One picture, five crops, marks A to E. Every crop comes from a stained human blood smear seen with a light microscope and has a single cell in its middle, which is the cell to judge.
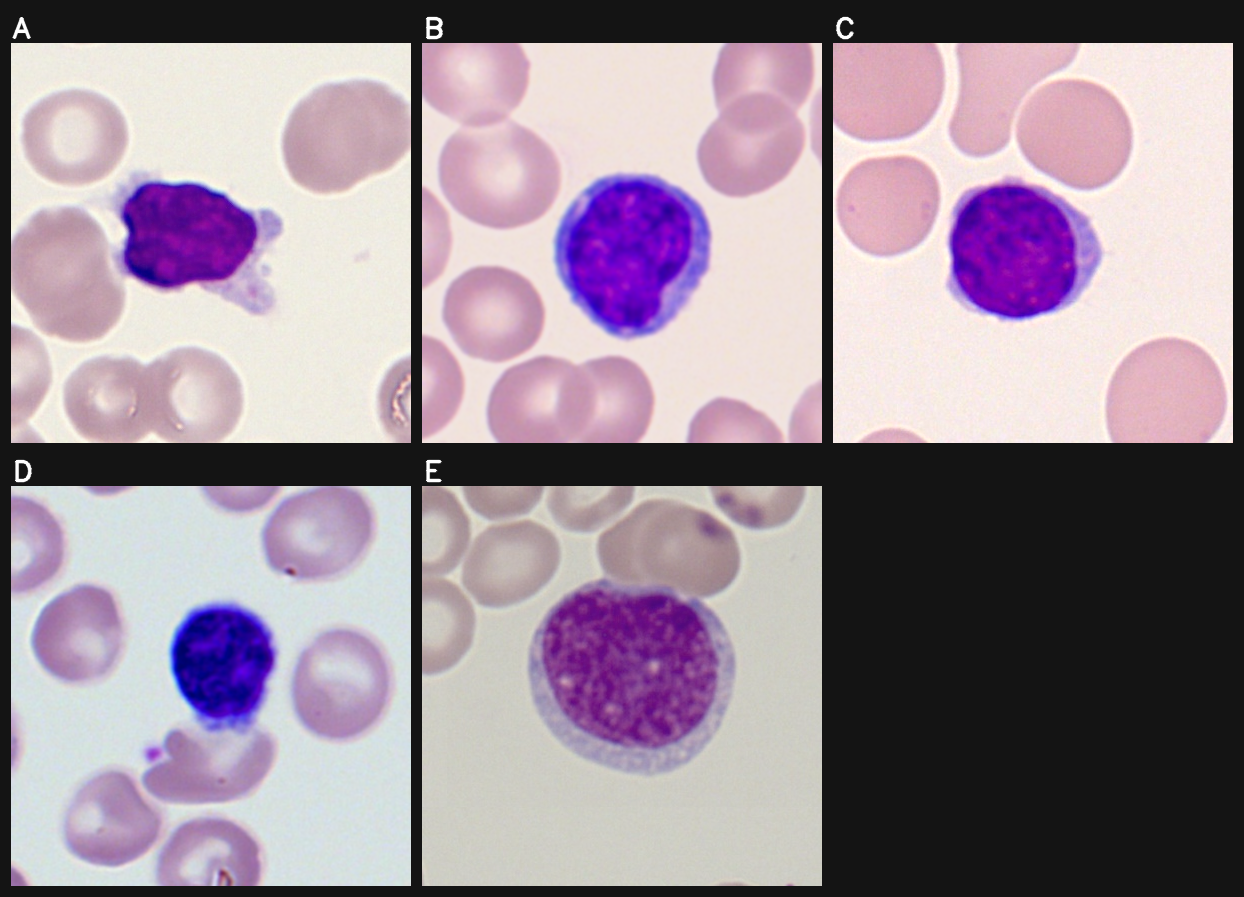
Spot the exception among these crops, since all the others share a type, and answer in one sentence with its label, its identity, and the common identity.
Crop E shows a blast; by contrast, all the other crops show lymphocytes.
